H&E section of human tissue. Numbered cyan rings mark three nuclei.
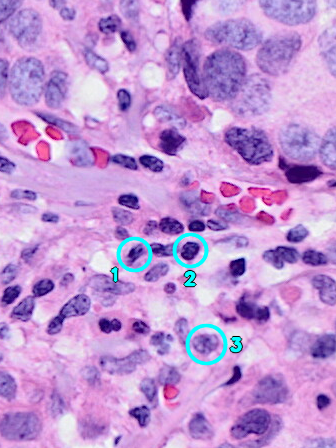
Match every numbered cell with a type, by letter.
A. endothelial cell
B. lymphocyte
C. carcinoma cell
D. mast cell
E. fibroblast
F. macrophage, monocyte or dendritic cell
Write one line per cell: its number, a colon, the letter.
1: B
2: B
3: F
